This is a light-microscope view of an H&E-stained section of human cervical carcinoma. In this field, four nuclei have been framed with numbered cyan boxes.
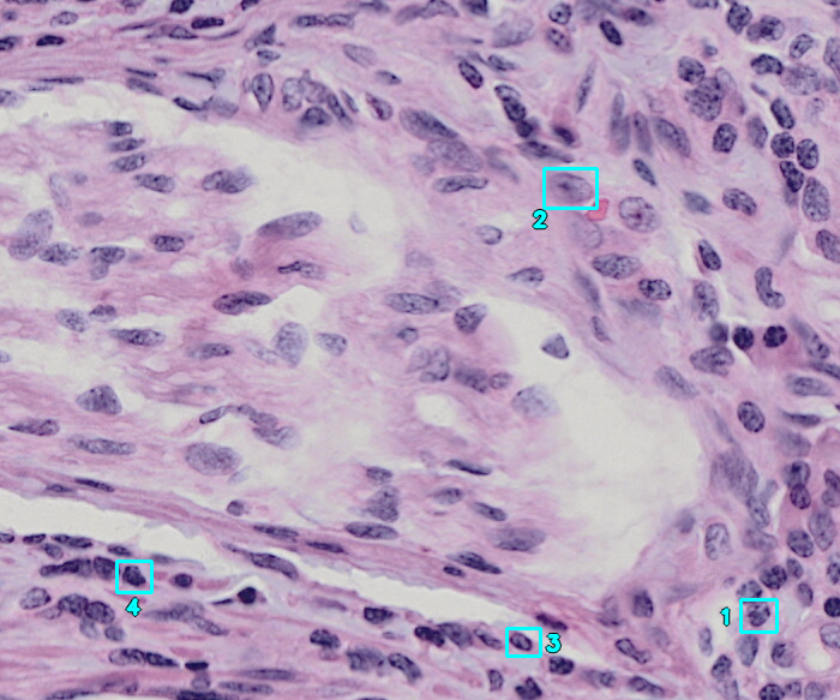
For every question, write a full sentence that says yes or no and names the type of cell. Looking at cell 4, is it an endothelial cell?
No, cell 4, which is a lymphocyte, is not an endothelial cell.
